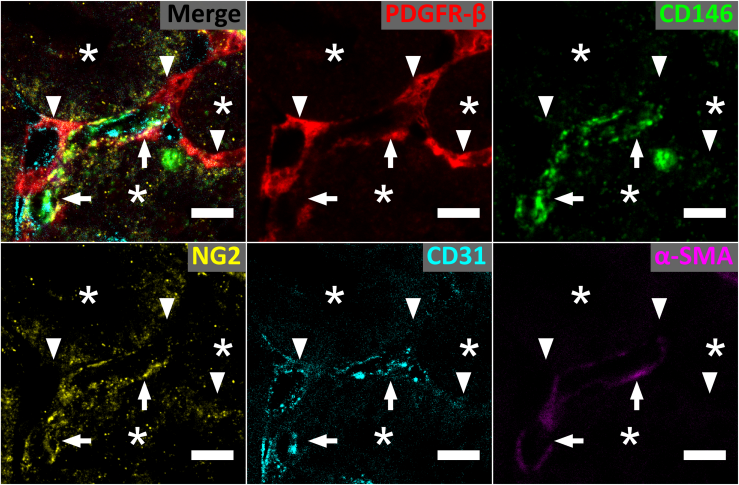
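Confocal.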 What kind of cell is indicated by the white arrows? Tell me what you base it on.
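The arrows point to cells lying along a thin vessel. At the arrows several colours overlap in the merged image. That points to this answer: Pericytes.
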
